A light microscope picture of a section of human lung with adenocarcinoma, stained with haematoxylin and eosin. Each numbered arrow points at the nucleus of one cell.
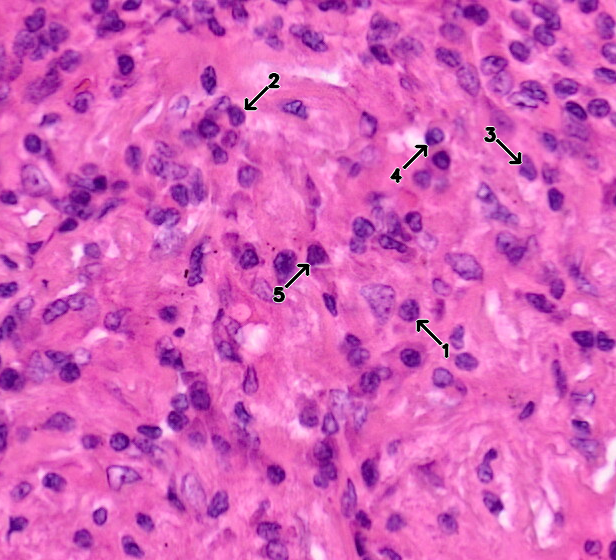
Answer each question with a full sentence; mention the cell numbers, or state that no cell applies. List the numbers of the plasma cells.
The cells numbered 1 and 5 are of one kind: plasma cells.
